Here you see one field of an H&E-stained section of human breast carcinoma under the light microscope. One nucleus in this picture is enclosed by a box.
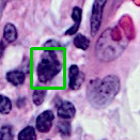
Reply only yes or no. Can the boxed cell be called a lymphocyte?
yes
